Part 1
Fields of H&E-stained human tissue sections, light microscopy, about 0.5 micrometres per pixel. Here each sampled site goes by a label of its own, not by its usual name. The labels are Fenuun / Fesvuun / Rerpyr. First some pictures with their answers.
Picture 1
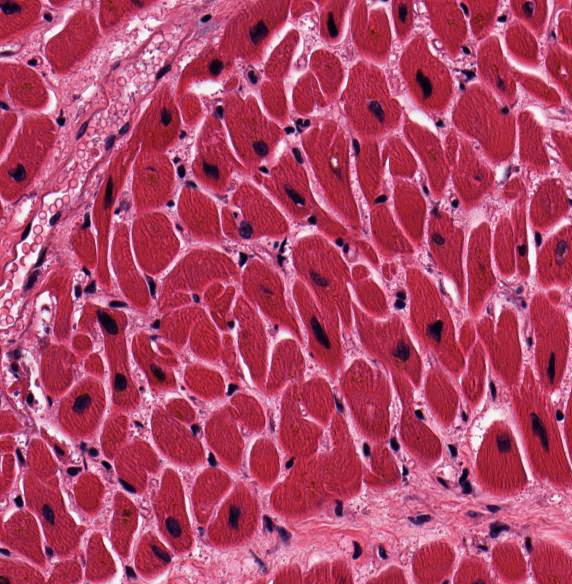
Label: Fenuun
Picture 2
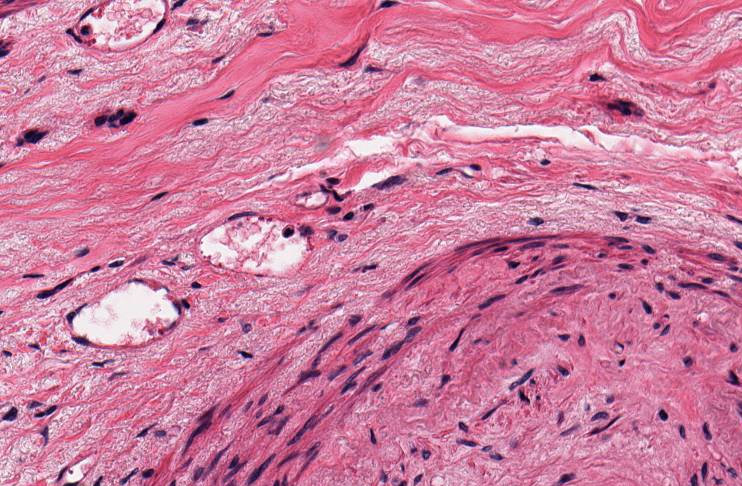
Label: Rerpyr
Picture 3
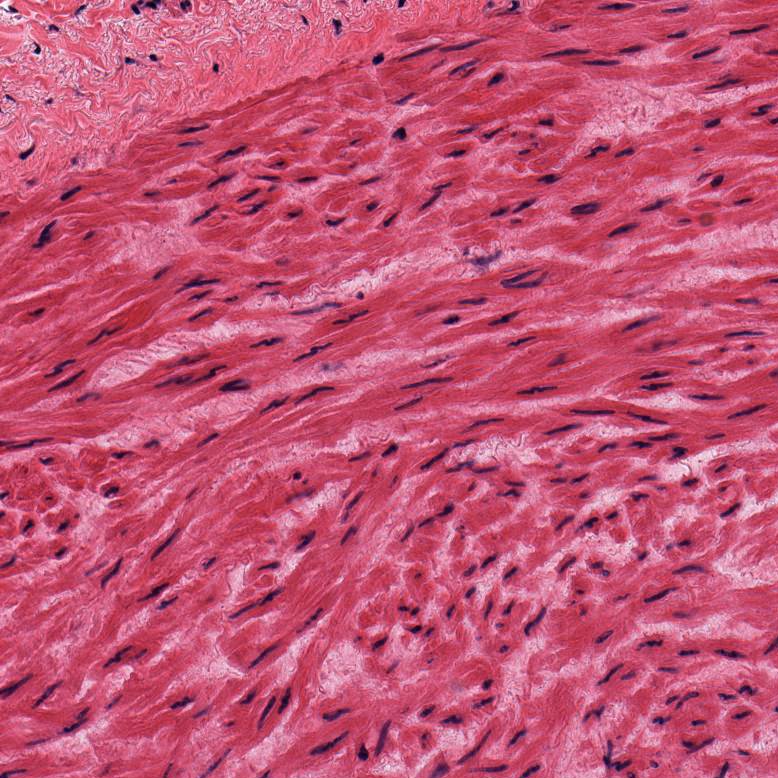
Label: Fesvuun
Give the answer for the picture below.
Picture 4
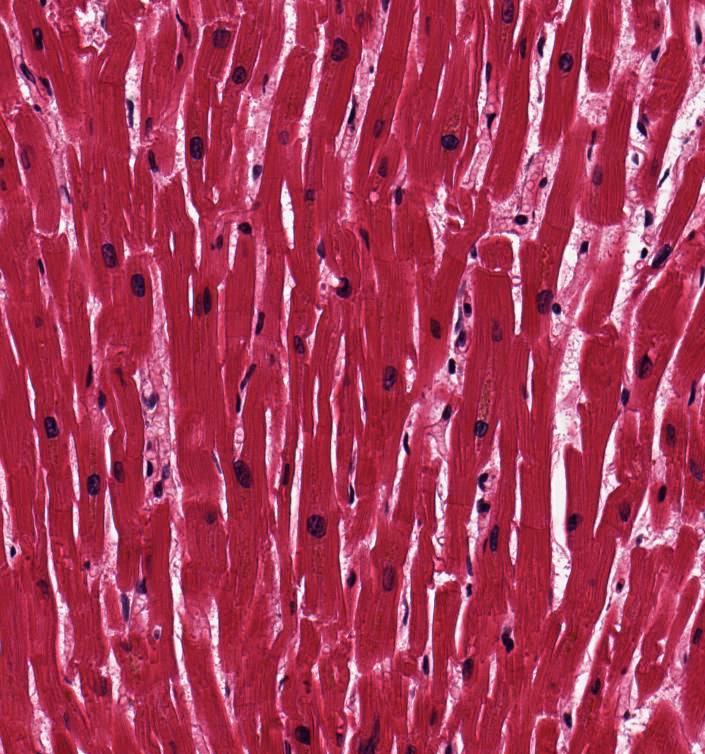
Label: Fenuun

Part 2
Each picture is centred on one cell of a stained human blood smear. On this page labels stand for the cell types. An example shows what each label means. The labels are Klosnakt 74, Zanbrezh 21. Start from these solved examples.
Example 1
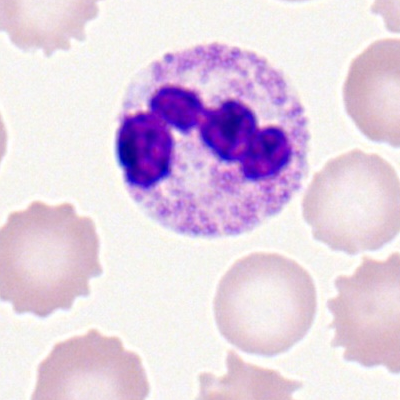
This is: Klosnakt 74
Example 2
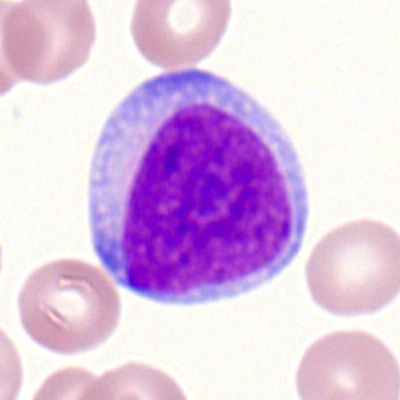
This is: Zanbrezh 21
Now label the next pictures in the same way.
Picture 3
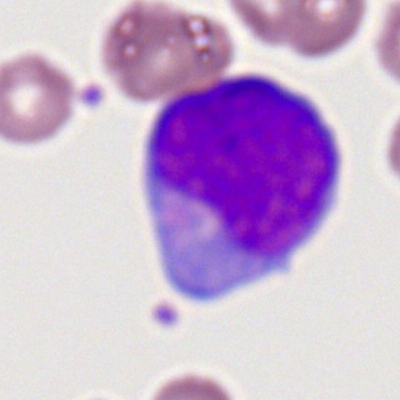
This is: Zanbrezh 21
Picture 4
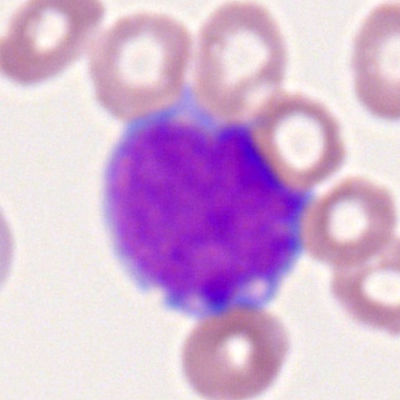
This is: Zanbrezh 21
